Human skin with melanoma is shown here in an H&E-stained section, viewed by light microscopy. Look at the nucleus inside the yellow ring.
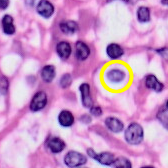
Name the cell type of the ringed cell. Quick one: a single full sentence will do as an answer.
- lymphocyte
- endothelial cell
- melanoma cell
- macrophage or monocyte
In the tissue at hand, the ringed cell is a lymphocyte.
